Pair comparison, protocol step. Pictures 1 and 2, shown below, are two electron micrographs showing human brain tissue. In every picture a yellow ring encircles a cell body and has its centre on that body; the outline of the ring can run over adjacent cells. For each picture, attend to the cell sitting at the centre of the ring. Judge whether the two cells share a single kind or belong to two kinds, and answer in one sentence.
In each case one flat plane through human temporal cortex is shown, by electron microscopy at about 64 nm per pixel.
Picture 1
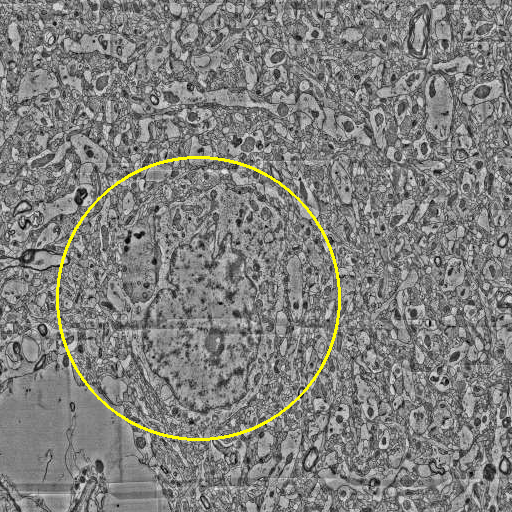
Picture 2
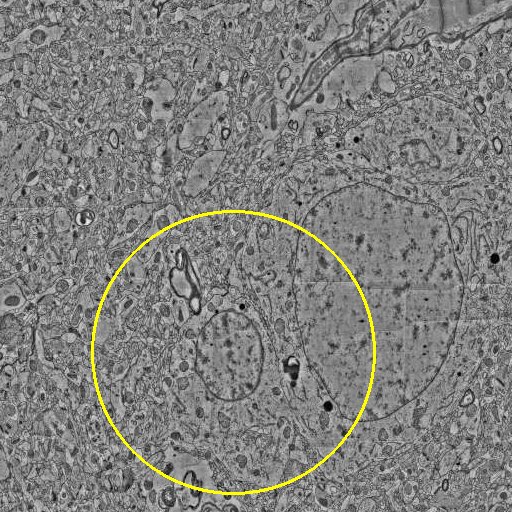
The two cells at the ring centres in Picture 1 and Picture 2 belong to two kinds.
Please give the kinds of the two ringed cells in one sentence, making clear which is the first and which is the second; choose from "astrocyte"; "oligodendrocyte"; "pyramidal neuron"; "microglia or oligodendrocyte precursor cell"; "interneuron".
In the second picture the ringed cell is a pyramidal neuron; in the first it is an interneuron.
